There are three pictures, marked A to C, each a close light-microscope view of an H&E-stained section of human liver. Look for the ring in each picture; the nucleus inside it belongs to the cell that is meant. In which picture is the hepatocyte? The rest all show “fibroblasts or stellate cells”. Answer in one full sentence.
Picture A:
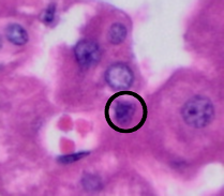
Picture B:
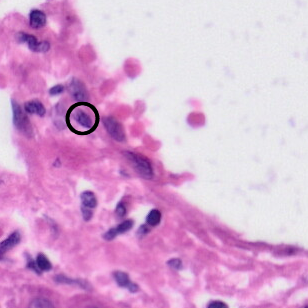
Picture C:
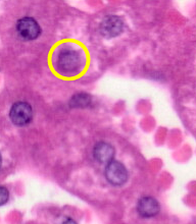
Picture C shows the hepatocyte.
